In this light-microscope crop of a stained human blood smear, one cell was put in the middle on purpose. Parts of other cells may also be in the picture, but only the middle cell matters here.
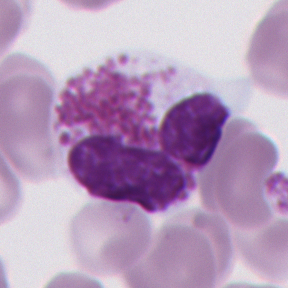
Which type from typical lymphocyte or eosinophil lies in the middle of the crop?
eosinophil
